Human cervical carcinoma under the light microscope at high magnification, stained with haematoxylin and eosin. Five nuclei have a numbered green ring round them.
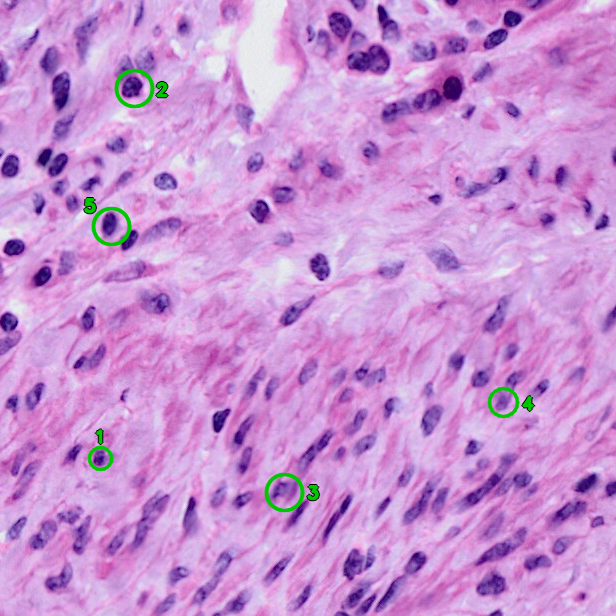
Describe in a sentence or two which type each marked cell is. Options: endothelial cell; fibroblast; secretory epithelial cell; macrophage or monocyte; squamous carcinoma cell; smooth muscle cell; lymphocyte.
Cells 1, 3 and 4 are smooth muscle cells. Cells 2 and 5 are lymphocytes.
